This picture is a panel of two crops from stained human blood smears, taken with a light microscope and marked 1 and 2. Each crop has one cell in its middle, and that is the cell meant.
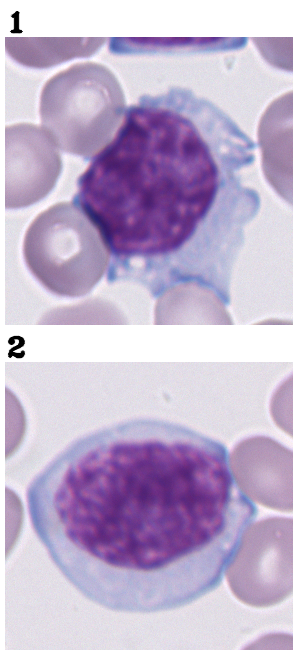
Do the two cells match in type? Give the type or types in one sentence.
Yes, the centre cells of both crops are blasts.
